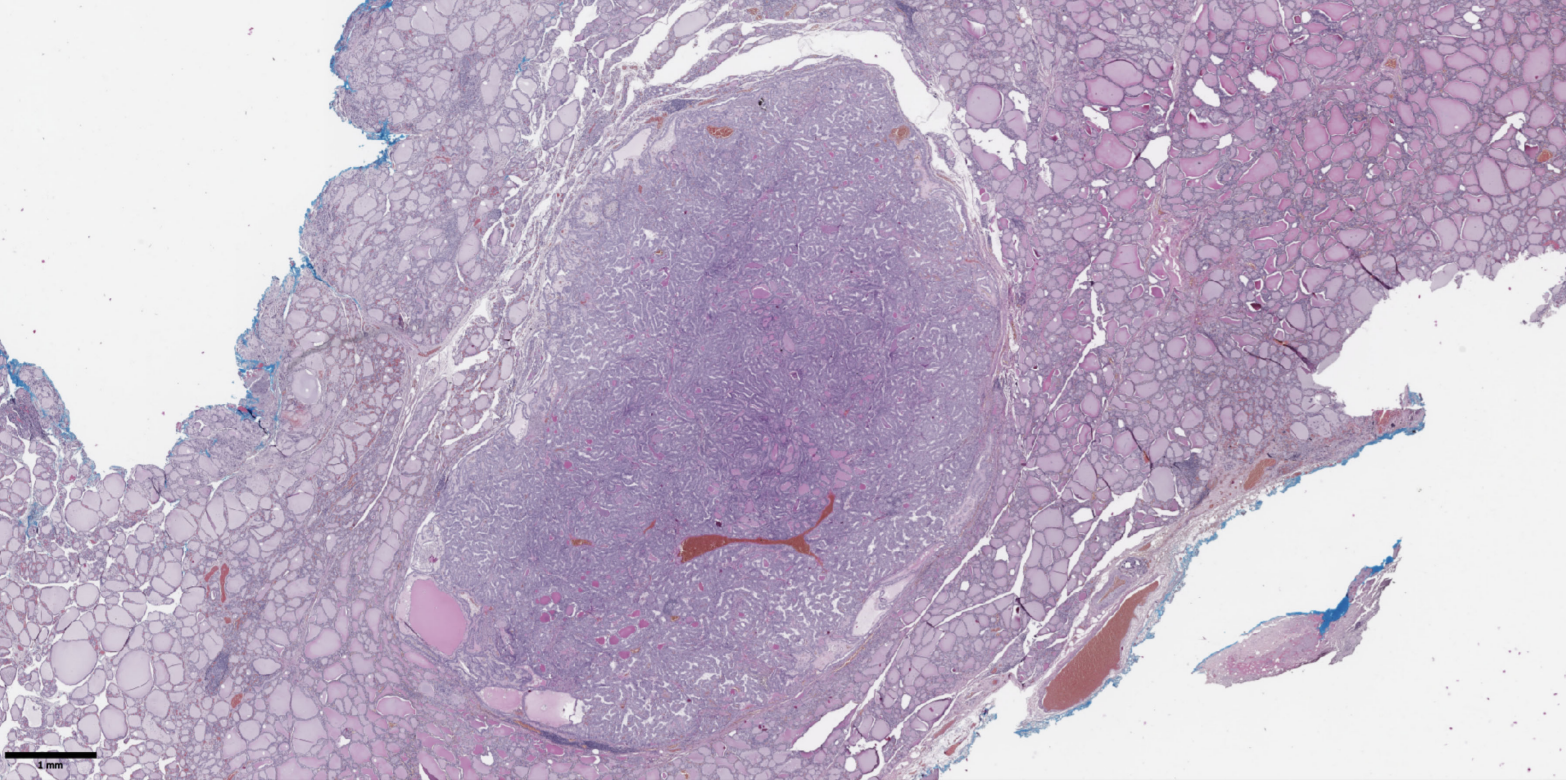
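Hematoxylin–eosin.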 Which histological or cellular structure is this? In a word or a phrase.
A: Tumor node.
